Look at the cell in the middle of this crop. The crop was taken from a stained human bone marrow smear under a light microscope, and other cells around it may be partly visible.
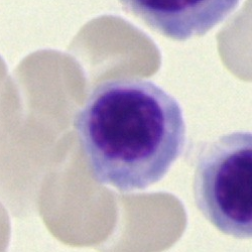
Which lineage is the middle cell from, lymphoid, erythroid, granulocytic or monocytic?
erythroid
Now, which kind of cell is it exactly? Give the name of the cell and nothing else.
erythroblast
